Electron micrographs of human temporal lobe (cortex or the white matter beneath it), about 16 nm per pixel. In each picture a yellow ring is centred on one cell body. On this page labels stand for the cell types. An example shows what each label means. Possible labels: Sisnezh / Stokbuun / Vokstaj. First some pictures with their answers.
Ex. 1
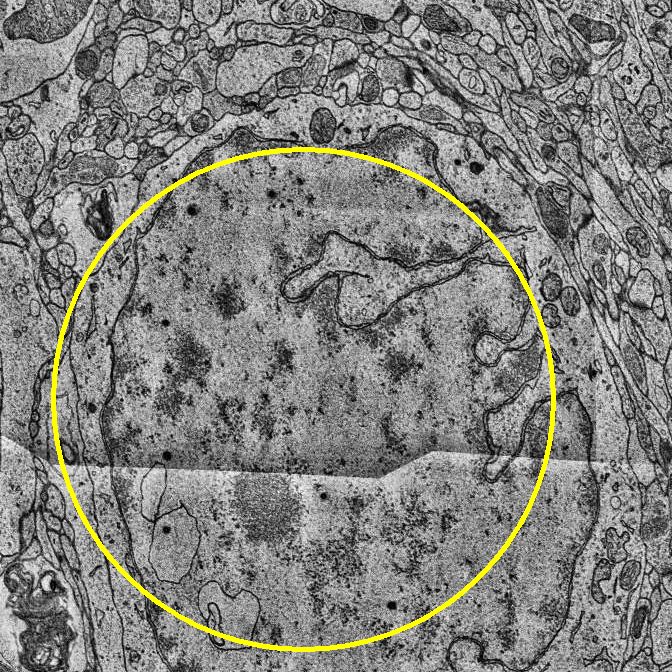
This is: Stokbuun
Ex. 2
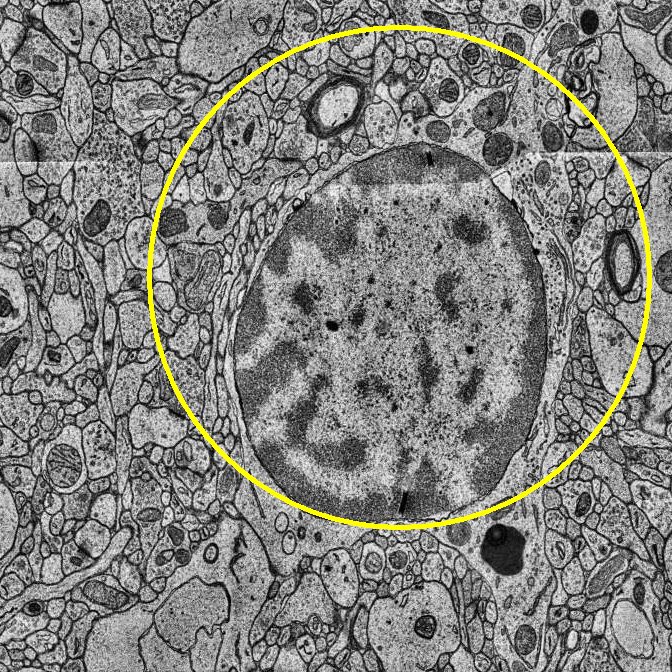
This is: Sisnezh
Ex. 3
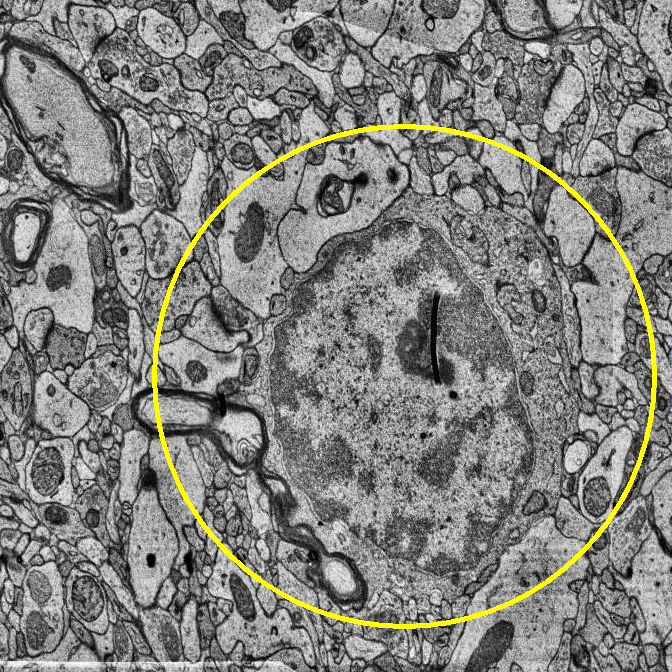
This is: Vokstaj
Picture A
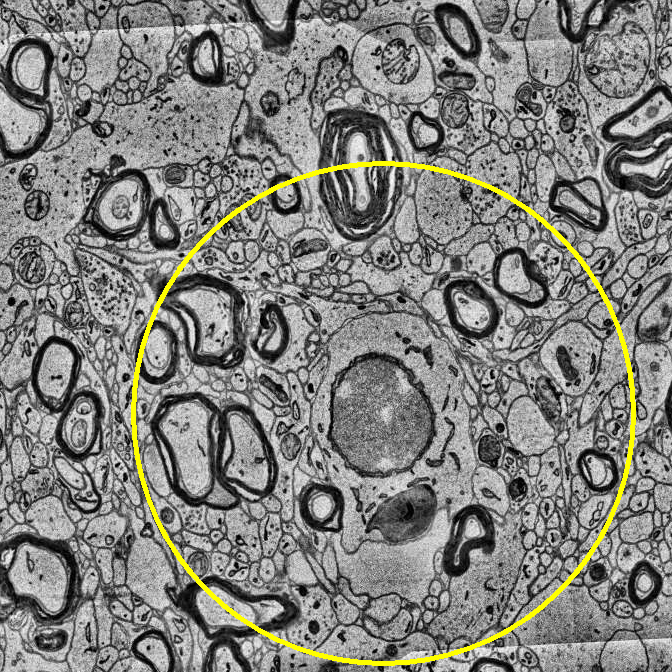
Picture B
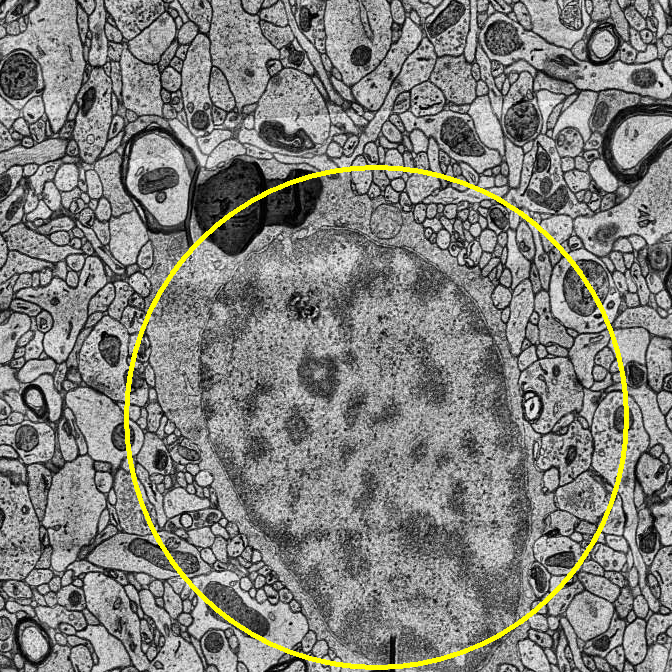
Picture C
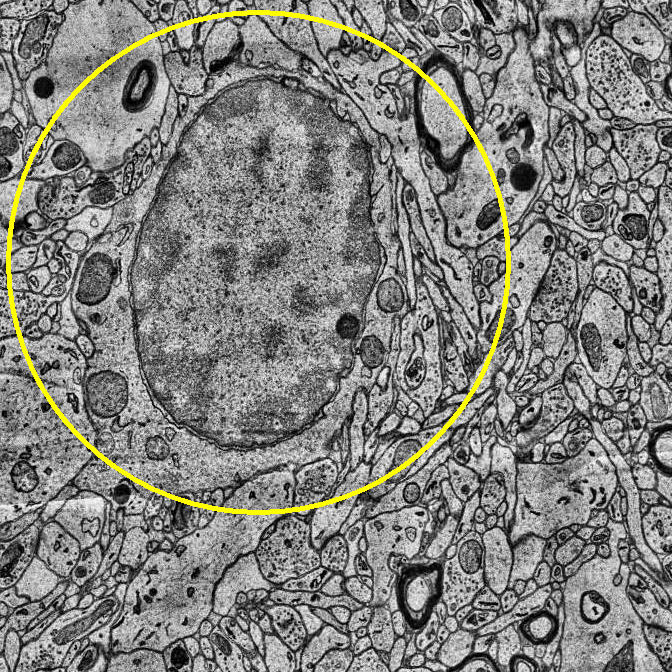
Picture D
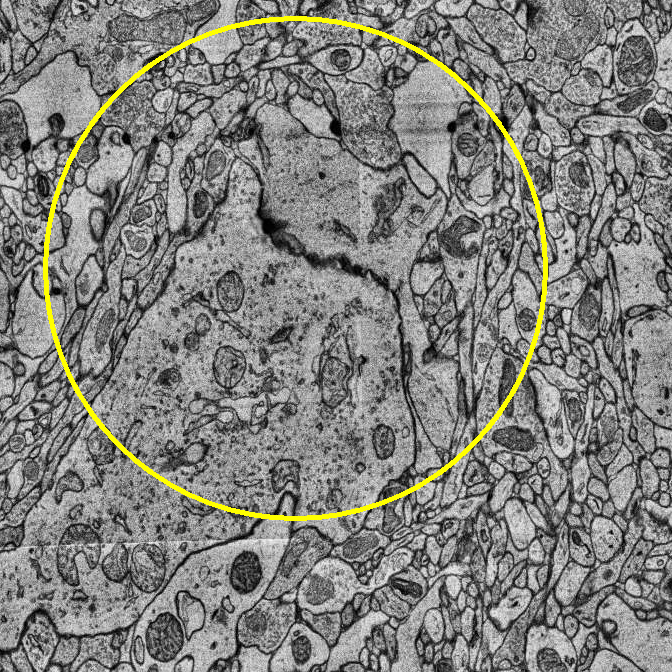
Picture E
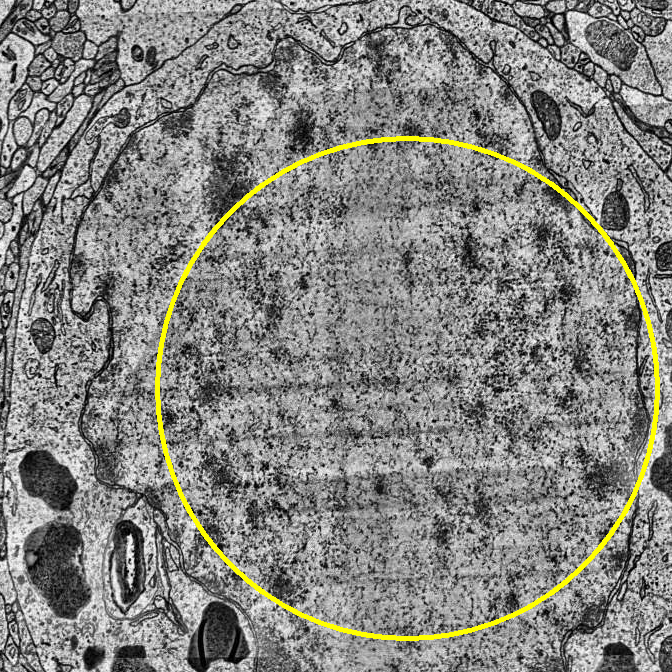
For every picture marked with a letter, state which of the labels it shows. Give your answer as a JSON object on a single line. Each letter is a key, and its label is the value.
{"A": "Sisnezh", "B": "Vokstaj", "C": "Vokstaj", "D": "Stokbuun", "E": "Stokbuun"}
